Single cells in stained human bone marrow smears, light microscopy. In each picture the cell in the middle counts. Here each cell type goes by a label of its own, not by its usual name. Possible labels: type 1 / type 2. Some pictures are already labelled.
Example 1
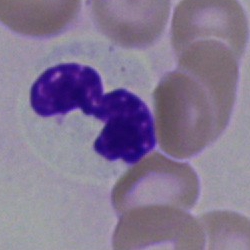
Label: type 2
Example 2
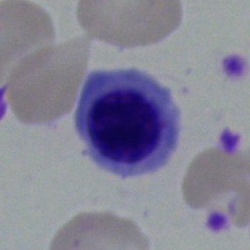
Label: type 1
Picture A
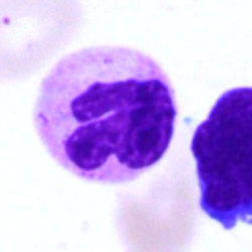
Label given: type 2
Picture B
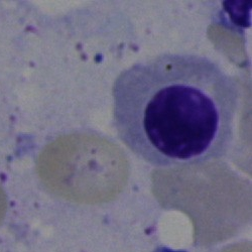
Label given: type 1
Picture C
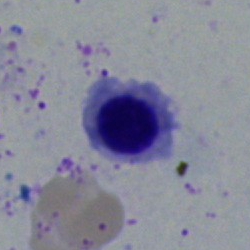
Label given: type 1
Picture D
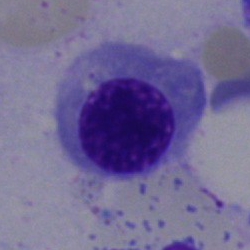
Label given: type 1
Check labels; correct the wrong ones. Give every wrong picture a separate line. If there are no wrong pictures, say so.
Nothing to fix; every label fits.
